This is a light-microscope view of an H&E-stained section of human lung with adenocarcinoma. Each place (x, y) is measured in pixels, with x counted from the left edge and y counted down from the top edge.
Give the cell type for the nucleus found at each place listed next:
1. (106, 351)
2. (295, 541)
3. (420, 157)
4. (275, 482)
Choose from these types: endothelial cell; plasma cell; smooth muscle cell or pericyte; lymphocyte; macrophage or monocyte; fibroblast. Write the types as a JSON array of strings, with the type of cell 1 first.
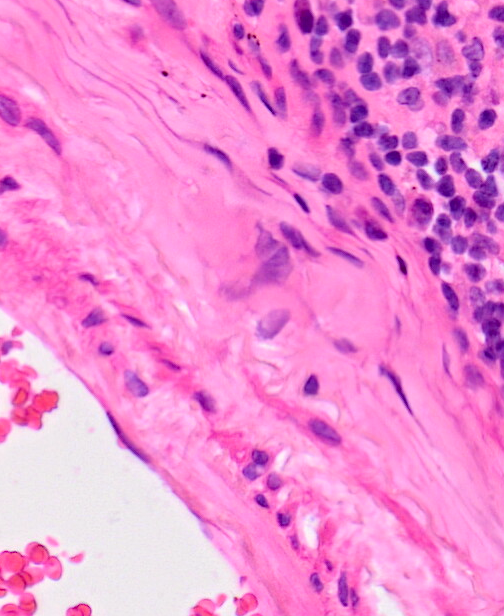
["smooth muscle cell or pericyte", "smooth muscle cell or pericyte", "lymphocyte", "smooth muscle cell or pericyte"]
